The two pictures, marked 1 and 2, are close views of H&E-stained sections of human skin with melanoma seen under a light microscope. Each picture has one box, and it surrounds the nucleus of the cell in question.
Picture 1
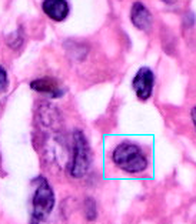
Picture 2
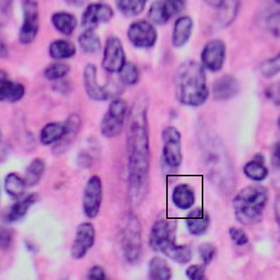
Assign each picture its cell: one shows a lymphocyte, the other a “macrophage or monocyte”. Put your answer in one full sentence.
Picture 1 shows a “macrophage or monocyte” and picture 2 shows a lymphocyte.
